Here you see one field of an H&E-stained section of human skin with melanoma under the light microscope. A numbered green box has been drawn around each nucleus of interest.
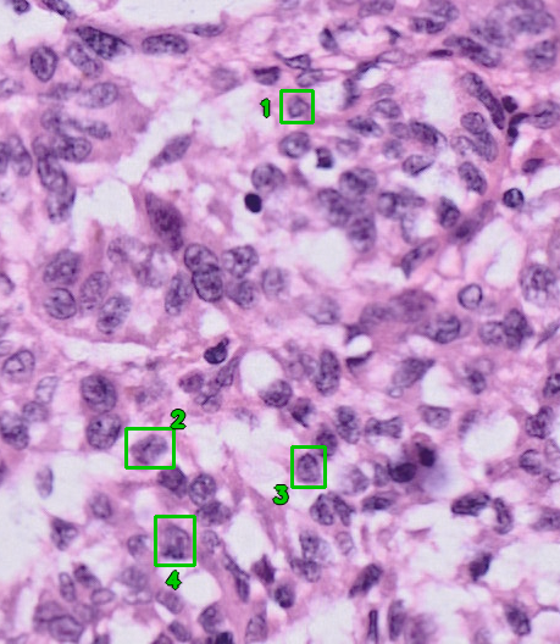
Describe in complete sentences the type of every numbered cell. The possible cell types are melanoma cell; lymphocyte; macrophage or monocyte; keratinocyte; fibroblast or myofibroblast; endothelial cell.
Cell 1 is a macrophage or monocyte, cell 2 is a melanoma cell, cell 3 is a melanoma cell and cell 4 is a melanoma cell.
